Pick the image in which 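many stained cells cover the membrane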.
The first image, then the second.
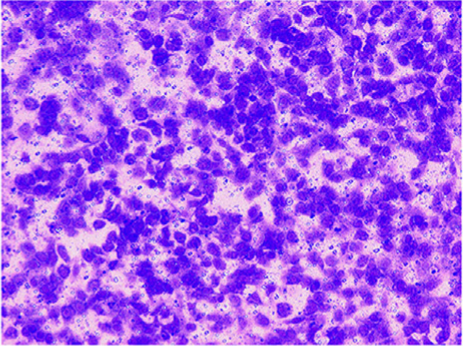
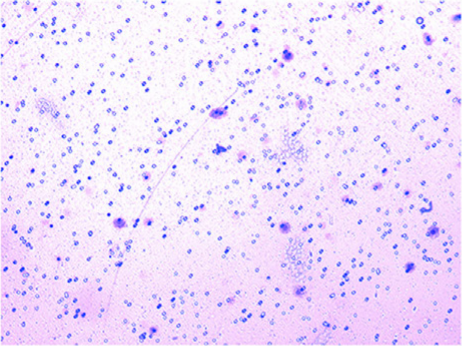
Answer: the first image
